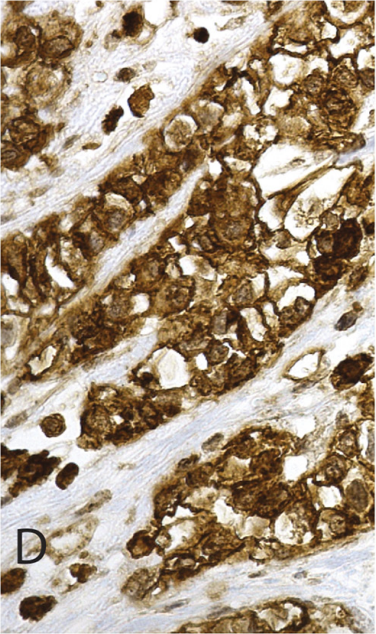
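This field shows nests and cords of carcinoma cells set in a pale blue fibrous stroma. Almost all the tumour cells are intensely stained dark brown throughout their cytoplasm, with the staining accentuated at the cell borders. Many cells contain clear vacuoles or spaces that give the nests a bubbly appearance. Nuclei are largely obscured by the dense brown stain.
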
